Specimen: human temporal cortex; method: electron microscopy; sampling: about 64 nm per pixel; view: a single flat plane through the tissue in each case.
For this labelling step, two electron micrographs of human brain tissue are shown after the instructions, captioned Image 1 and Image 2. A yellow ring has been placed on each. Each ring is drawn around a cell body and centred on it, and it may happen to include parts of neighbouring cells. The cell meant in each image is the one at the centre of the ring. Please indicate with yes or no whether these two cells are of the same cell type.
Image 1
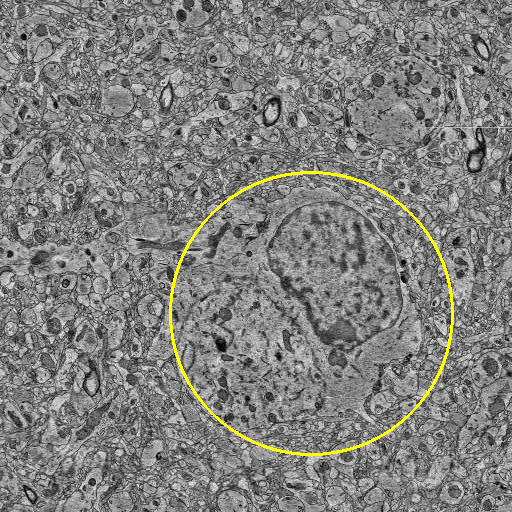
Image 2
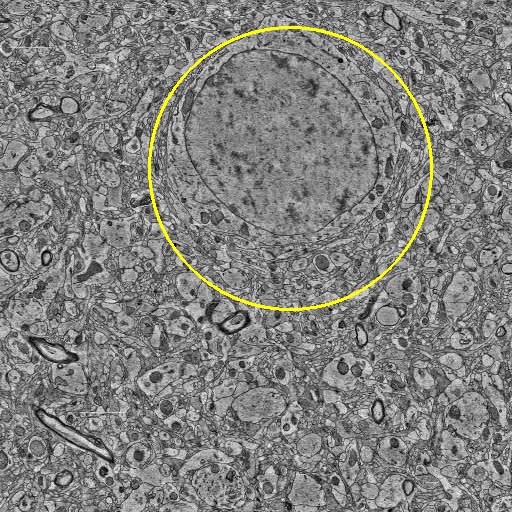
no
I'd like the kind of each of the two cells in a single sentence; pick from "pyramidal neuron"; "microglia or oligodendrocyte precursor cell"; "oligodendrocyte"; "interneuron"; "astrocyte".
The first ring marks a microglial cell or oligodendrocyte precursor cell, and the second ring marks a pyramidal neuron.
